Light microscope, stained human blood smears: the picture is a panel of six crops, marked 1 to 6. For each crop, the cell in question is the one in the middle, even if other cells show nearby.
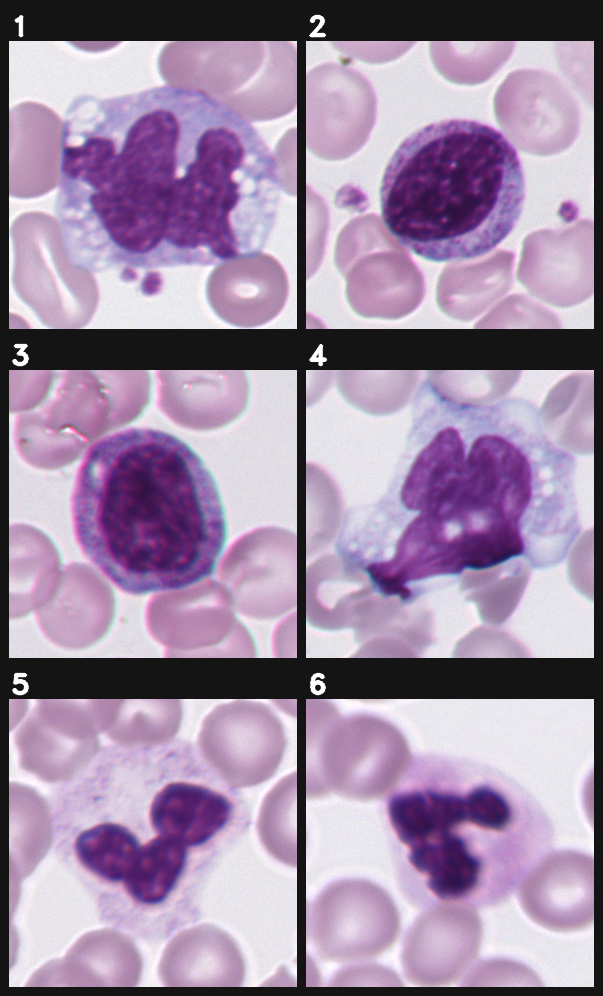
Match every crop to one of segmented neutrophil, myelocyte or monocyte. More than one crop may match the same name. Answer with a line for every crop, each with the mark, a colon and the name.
1: monocyte
2: myelocyte
3: myelocyte
4: monocyte
5: segmented neutrophil
6: segmented neutrophil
